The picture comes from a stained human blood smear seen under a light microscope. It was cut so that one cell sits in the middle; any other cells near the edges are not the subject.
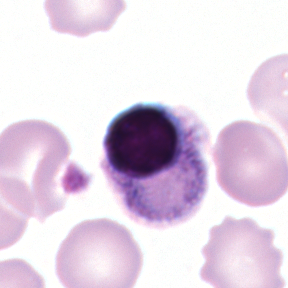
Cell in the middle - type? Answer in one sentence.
The identification for the central cell is a normoblast.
